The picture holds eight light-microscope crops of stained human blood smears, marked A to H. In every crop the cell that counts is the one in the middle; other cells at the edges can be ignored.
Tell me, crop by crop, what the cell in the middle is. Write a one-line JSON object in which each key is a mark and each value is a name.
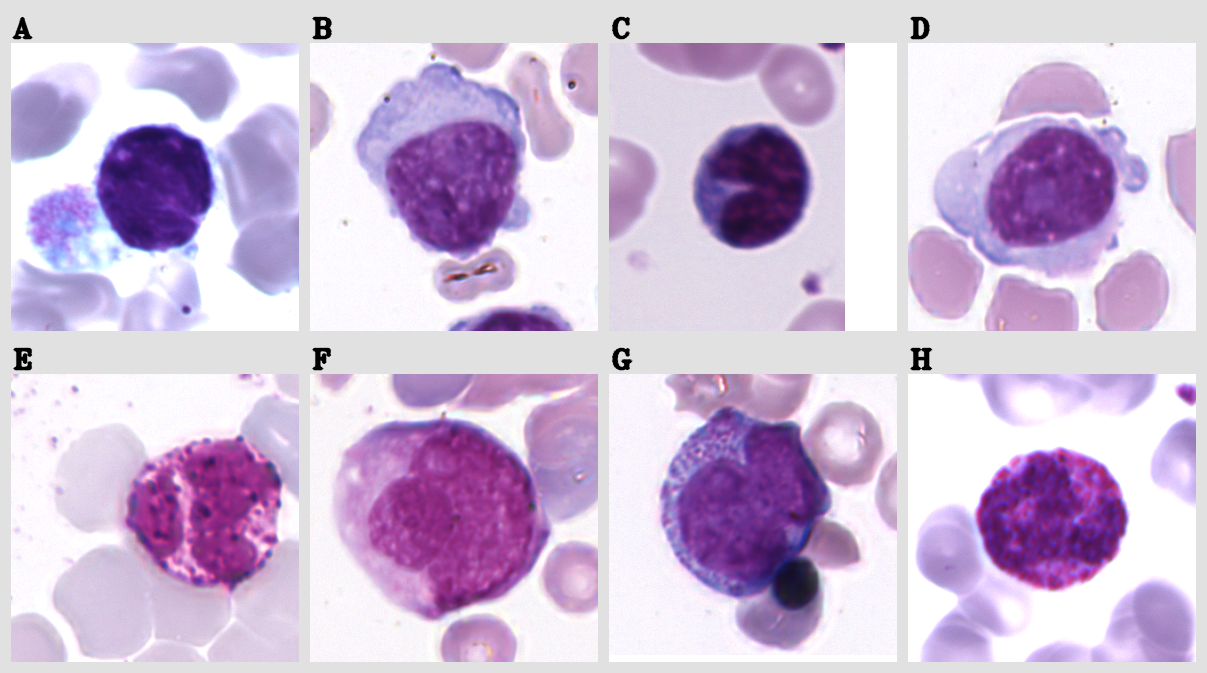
{"A": "lymphocyte", "B": "plasma cell", "C": "monocyte", "D": "plasma cell", "E": "basophil", "F": "atypical promyelocyte", "G": "promyelocyte", "H": "basophil"}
